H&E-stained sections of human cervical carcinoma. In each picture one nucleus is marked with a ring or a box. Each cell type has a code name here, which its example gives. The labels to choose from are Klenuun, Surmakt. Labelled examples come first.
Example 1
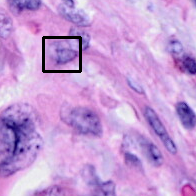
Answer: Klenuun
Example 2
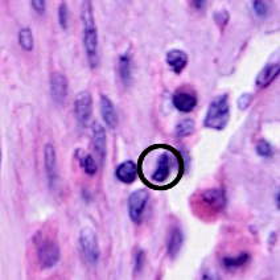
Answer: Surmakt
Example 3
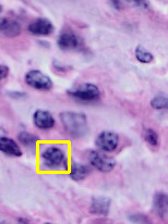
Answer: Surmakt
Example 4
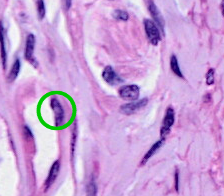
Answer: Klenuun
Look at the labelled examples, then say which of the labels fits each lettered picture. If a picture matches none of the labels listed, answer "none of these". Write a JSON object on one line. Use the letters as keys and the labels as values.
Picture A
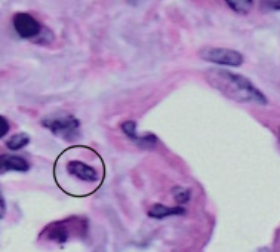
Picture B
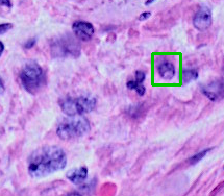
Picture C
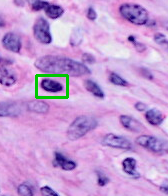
{"A": "Surmakt", "B": "none of these", "C": "Surmakt"}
